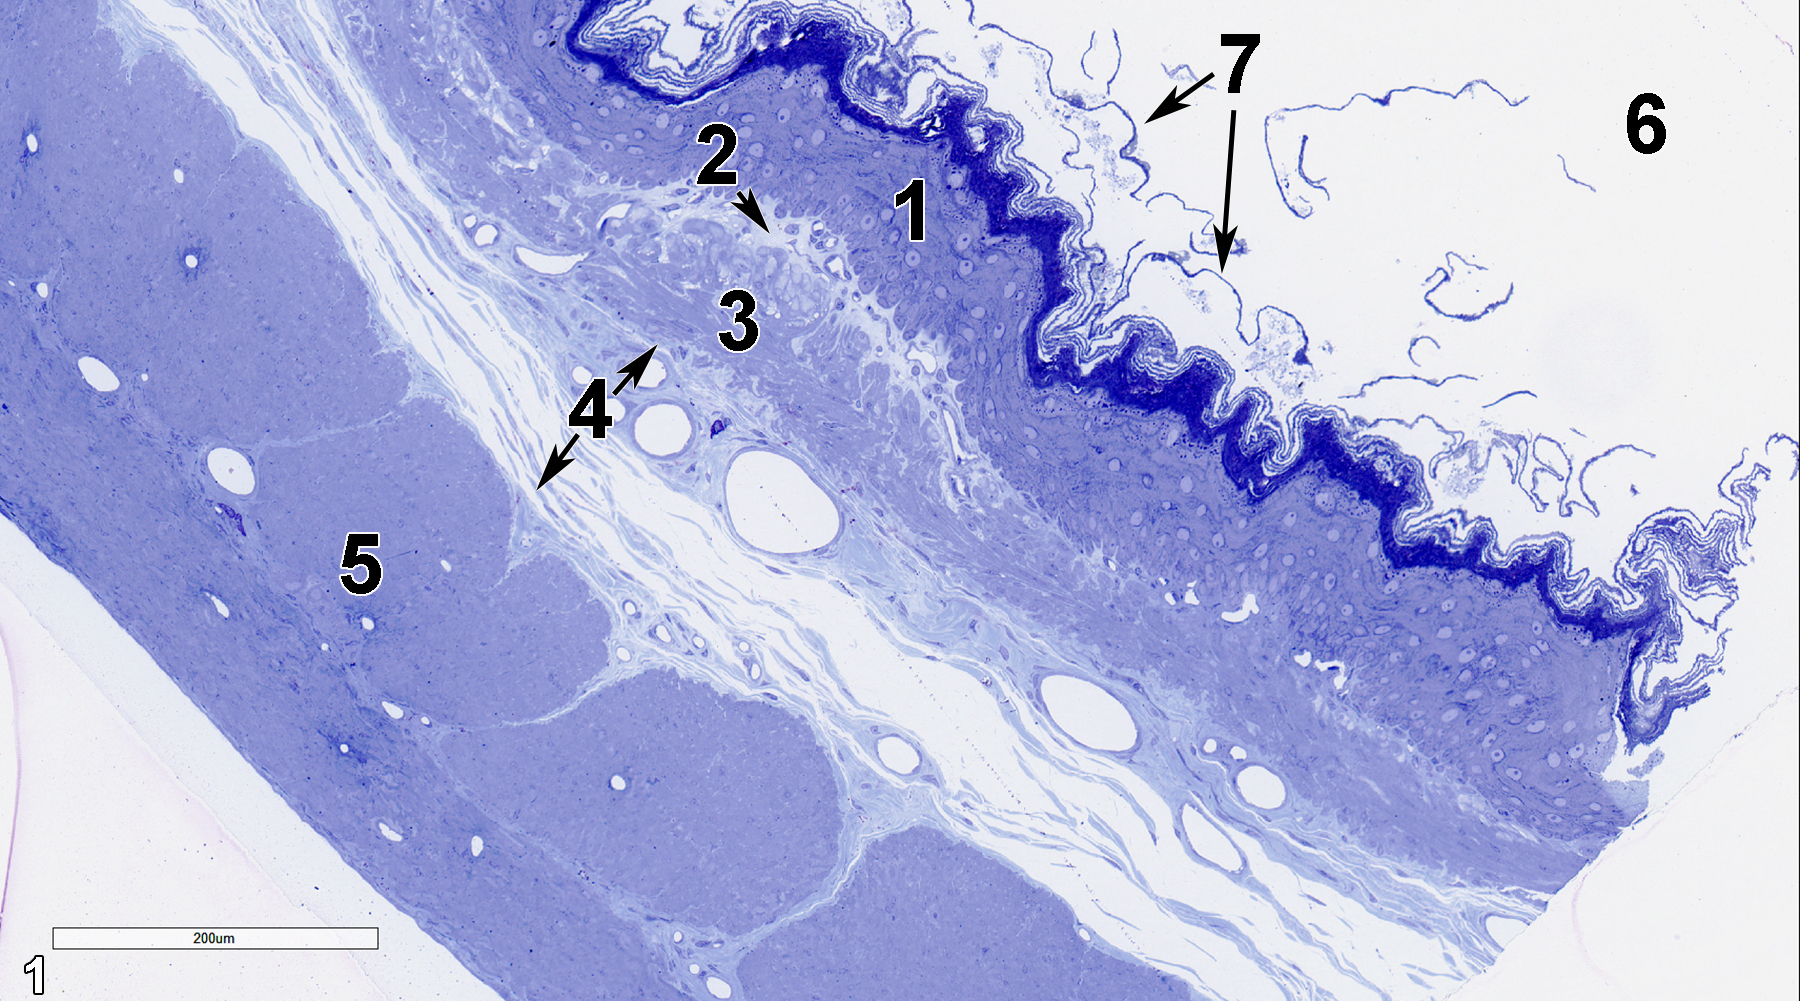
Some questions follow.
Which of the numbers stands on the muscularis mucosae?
Number 3.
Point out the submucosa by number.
4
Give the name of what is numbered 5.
tunica muscularis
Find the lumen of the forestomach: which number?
It's 6.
